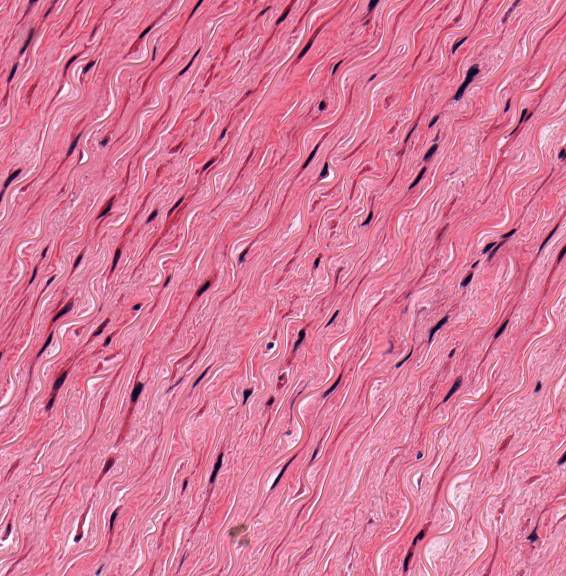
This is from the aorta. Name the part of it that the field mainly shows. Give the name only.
tunica media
